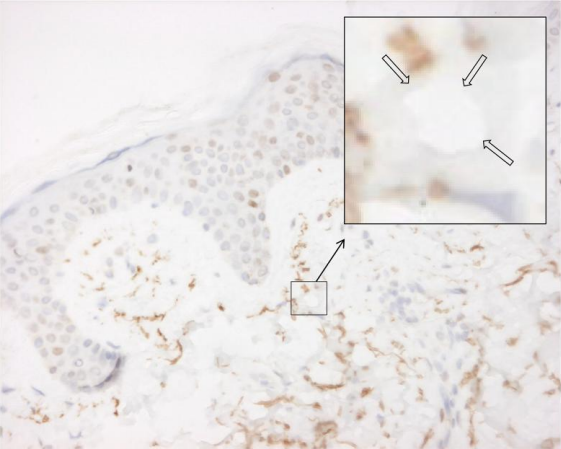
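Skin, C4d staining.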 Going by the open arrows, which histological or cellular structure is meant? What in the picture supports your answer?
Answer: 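The arrows point at small round pale outlines in the upper dermis. These outlines carry no brown stain. The answer: blood vessels.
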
